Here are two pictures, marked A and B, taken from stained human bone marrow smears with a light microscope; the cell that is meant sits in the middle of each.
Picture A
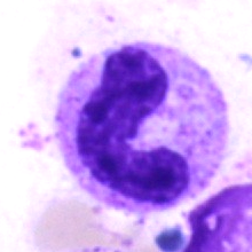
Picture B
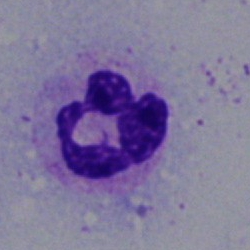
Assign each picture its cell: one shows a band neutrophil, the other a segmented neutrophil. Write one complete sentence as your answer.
In picture A the cell is a band neutrophil; in picture B, a segmented neutrophil.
